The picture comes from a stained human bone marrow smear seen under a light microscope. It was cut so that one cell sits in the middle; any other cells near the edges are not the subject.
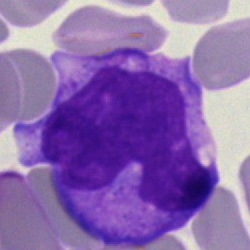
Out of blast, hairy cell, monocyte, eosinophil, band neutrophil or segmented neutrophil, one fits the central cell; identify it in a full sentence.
The cell at the middle of the frame should be recorded as a monocyte.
